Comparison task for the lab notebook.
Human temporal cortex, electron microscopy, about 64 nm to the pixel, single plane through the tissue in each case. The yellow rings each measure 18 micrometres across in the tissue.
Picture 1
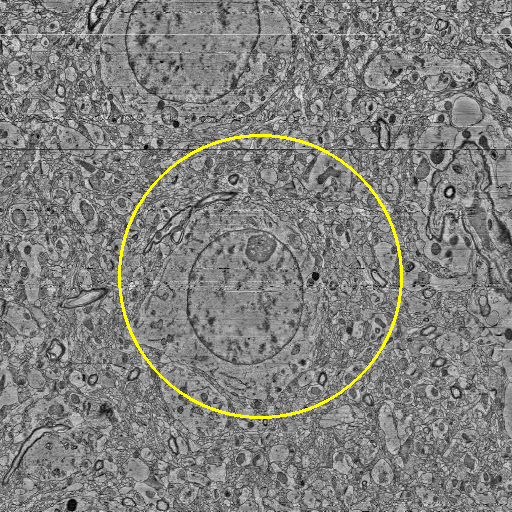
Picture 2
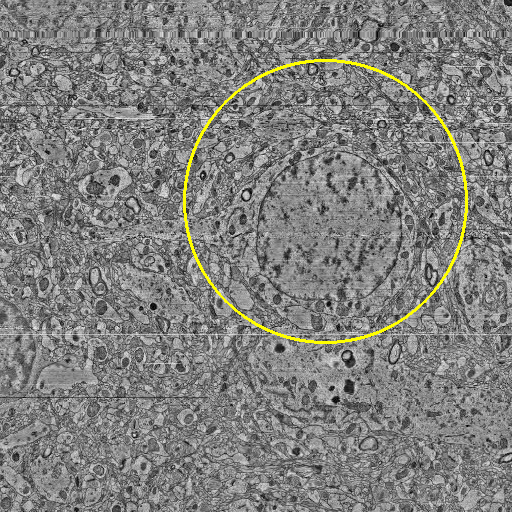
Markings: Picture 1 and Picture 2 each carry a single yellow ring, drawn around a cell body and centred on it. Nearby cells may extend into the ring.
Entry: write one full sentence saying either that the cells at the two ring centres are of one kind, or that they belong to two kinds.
The cells sitting at the ring centres in Picture 1 and Picture 2 are of one kind.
